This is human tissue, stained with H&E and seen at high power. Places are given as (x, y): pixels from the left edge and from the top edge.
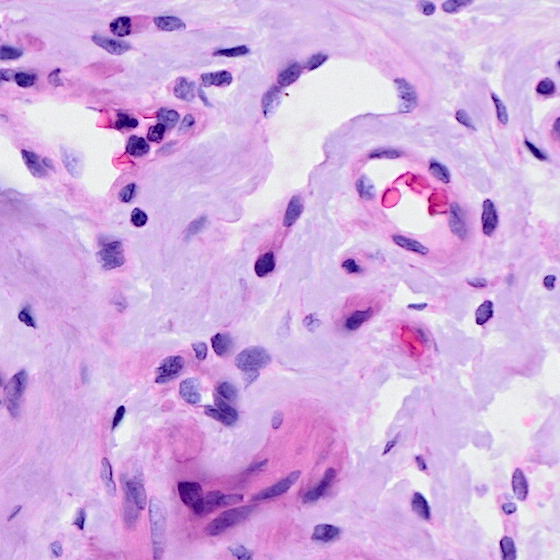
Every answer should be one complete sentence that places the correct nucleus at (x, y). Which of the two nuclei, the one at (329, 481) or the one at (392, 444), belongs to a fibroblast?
Of the two nuclei, it is the one at (392, 444) that lies within a fibroblast.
